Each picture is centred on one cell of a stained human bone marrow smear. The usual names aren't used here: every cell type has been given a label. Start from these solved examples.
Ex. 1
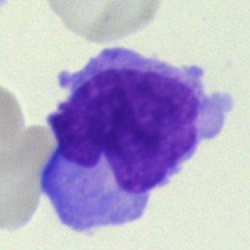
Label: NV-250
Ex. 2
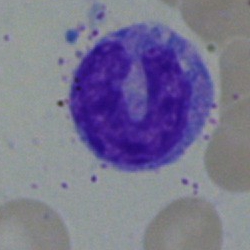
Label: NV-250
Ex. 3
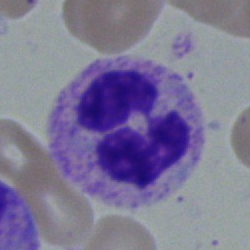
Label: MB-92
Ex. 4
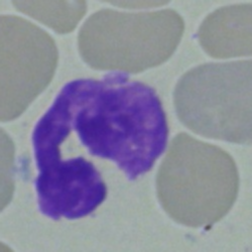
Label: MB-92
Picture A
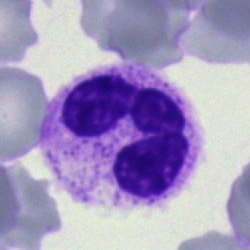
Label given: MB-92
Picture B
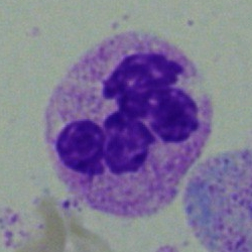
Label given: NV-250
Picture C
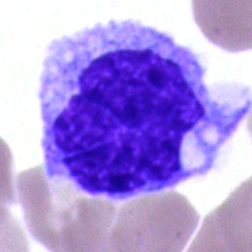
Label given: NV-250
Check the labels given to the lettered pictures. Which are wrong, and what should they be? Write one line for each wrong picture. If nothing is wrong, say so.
B should be MB-92, not NV-250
